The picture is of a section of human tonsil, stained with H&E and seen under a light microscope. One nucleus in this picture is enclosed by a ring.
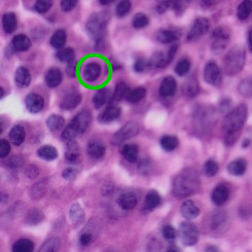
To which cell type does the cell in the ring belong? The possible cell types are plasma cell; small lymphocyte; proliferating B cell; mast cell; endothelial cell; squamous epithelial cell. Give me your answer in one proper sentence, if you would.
To be brief about it, the cell in the ring is a plasma cell.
